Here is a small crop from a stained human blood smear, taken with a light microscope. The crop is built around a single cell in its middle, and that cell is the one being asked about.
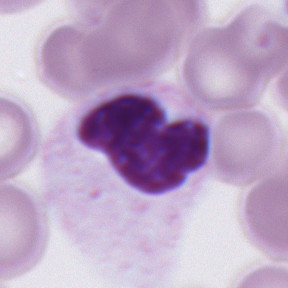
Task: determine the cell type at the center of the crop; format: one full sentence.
Within this crop, a neutrophil occupies the central position.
